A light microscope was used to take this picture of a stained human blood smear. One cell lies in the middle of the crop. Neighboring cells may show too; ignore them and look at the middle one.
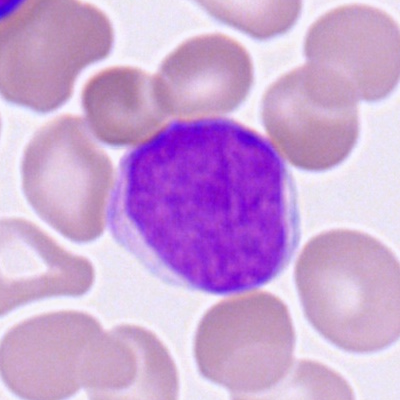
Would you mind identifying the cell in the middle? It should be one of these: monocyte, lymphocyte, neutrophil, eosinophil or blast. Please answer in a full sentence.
On this slide crop, the central cell is a blast.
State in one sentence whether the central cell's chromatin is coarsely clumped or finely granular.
The chromatin is fine, with no coarse clumping anywhere.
